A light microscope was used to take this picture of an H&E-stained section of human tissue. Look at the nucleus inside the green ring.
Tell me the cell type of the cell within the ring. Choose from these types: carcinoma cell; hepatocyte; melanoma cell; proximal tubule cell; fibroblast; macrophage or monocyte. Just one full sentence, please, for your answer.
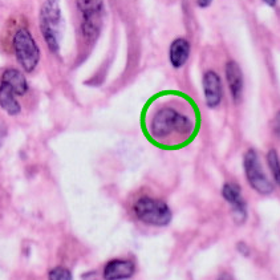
Typologically, the cell within the ring is a macrophage or monocyte in this section.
